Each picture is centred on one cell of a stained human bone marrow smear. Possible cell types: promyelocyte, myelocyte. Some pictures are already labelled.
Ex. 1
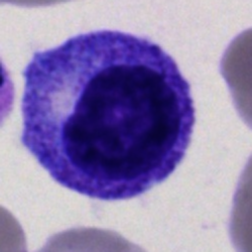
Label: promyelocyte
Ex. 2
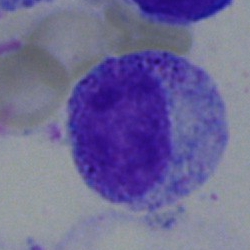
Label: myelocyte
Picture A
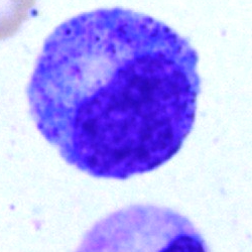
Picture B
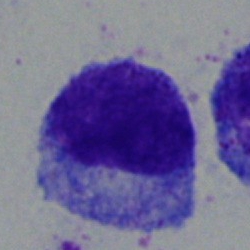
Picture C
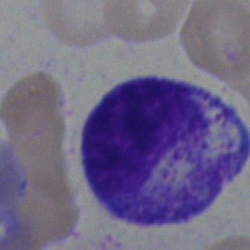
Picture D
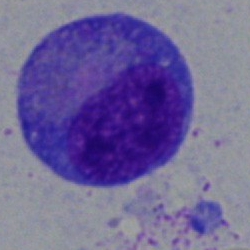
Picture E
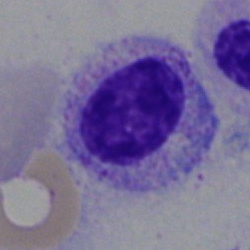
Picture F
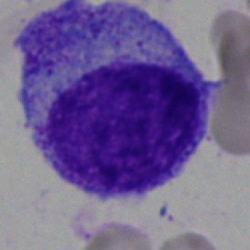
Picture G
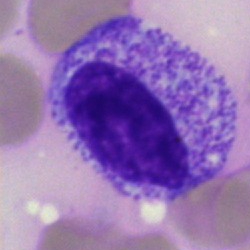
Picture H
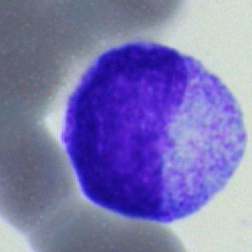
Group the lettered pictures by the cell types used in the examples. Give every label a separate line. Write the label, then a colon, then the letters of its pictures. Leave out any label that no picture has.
promyelocyte: D, H
myelocyte: A, B, C, E, F, G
